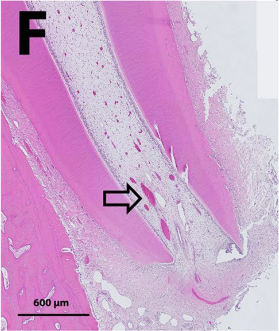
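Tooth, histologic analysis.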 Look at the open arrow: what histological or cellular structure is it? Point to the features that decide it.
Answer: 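The open arrow points to small elongated vessels filled with red-stained blood cells. The vessels lie within loose connective tissue inside the root canal. That points to this answer: microvasculature.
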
